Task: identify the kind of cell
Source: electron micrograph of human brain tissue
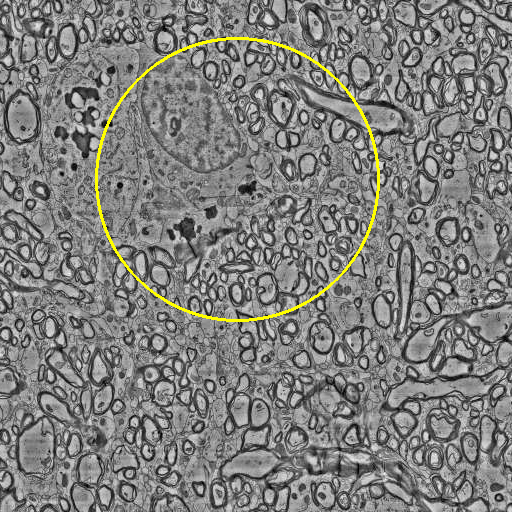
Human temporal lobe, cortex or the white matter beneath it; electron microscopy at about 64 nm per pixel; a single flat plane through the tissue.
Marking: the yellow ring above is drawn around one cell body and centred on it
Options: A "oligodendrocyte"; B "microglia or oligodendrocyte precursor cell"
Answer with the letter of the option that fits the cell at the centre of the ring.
B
